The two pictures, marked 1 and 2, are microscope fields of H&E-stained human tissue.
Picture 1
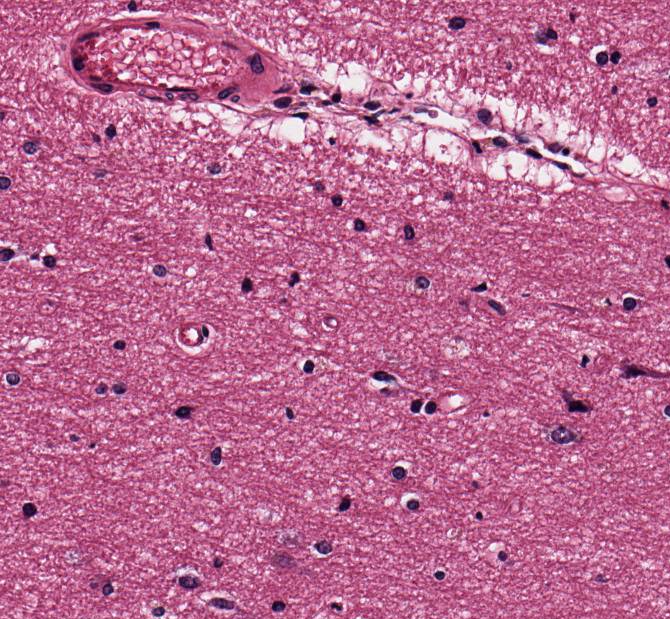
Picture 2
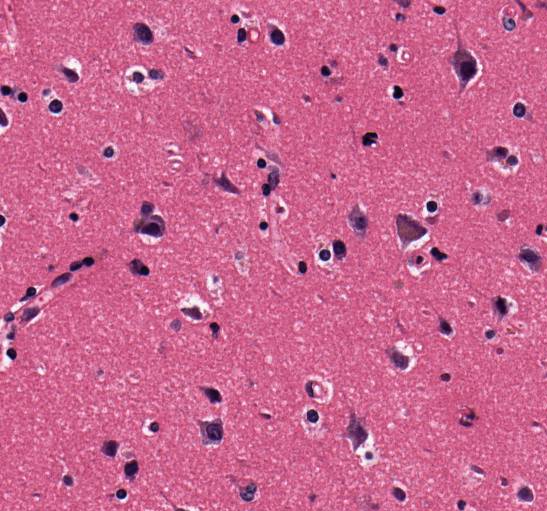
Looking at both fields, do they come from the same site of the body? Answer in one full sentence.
Yes, the two fields both come from the cerebral cortex.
